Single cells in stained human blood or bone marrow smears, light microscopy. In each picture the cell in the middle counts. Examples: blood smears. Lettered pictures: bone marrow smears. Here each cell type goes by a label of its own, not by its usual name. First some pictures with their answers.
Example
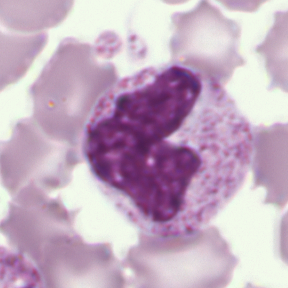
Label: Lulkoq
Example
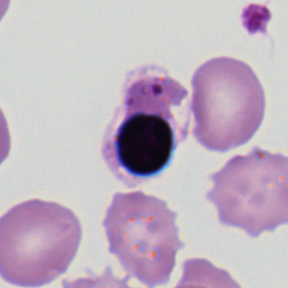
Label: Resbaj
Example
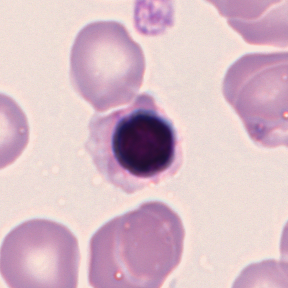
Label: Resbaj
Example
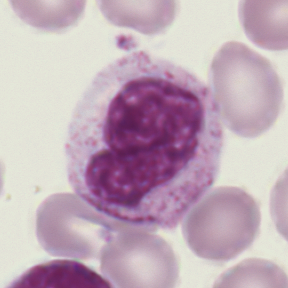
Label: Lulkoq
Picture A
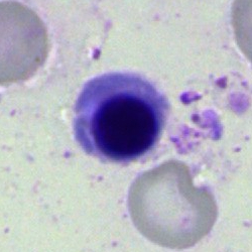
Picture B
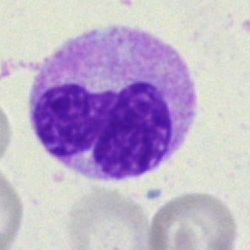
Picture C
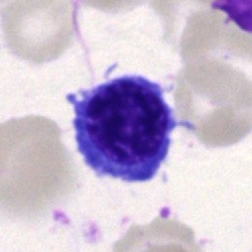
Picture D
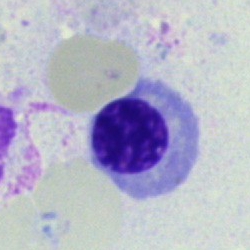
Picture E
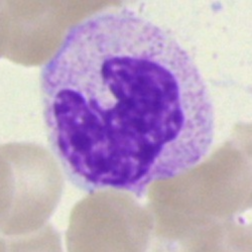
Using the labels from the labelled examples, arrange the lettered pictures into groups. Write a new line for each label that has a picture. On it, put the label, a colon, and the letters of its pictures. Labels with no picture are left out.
Lulkoq: B, E
Resbaj: A, C, D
